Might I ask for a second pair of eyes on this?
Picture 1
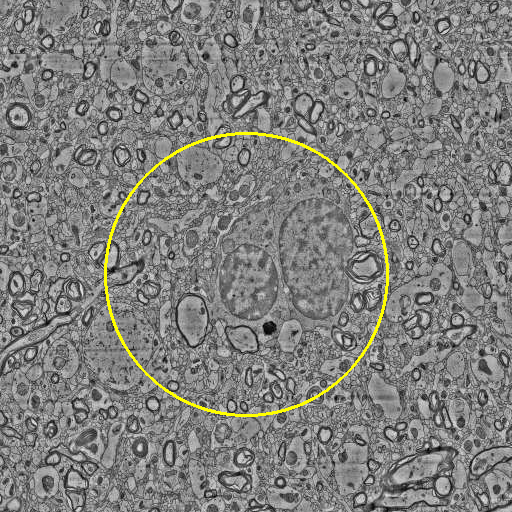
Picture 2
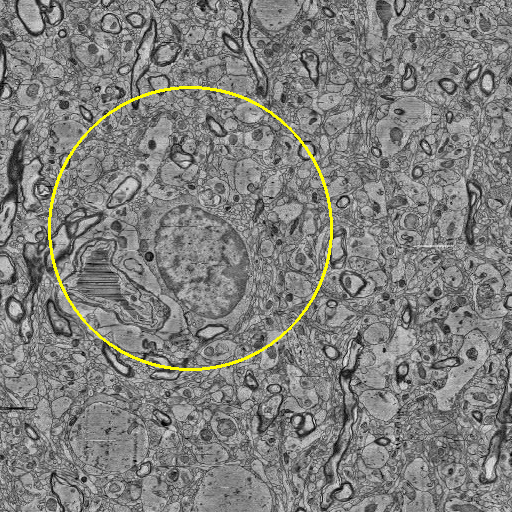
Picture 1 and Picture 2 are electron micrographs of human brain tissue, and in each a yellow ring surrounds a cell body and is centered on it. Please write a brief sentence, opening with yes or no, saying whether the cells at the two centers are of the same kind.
Yes, the cells are of the same kind.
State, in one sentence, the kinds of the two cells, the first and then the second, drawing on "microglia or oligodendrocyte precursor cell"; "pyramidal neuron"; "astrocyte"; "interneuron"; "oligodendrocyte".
Each cell at the centre of a ring is an oligodendrocyte.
